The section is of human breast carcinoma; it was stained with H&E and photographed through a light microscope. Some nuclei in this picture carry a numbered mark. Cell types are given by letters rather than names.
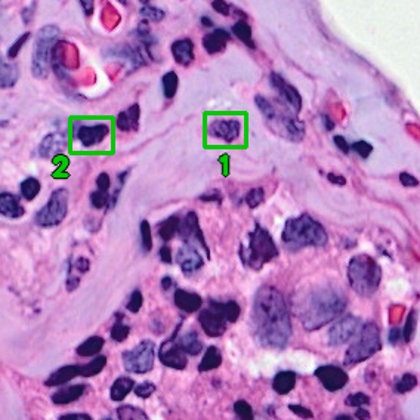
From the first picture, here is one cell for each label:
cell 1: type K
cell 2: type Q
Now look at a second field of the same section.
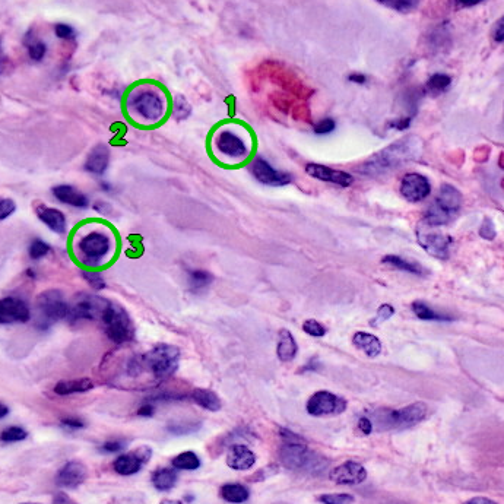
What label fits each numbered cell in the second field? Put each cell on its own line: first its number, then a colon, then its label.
1: type Q
2: type K
3: type Q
